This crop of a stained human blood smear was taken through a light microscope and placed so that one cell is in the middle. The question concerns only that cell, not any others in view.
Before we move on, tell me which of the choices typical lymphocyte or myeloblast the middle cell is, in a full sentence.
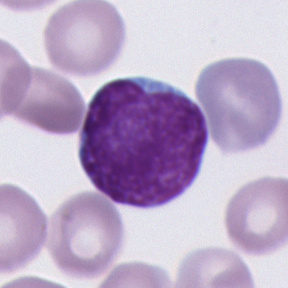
The crop shows a myeloblast in its centre.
